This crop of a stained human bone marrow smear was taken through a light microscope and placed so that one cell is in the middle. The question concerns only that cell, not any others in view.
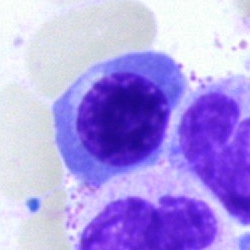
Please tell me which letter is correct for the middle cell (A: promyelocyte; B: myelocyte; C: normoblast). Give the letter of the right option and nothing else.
C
